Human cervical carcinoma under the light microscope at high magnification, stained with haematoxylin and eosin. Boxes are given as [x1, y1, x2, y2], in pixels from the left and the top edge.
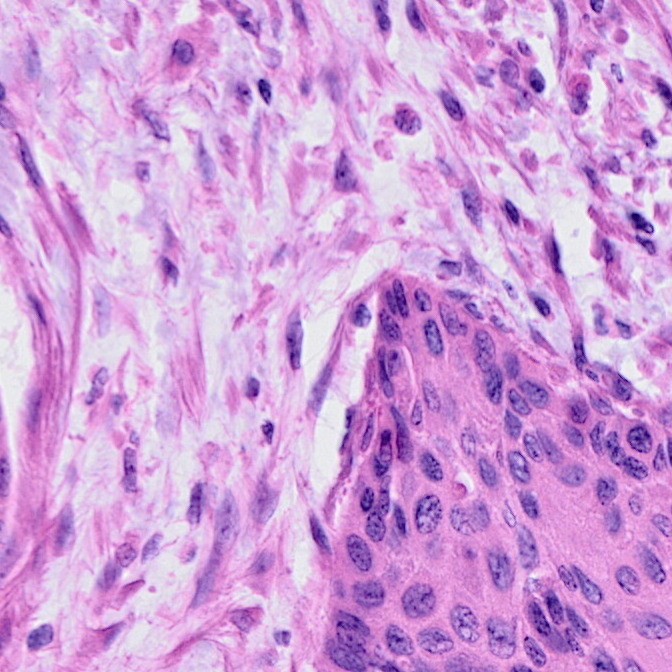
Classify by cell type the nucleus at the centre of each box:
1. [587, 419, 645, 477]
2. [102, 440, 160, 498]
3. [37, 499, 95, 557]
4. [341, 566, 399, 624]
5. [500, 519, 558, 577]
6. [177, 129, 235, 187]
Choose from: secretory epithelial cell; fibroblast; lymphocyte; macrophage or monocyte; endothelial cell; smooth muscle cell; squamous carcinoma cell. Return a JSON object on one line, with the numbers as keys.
{"1": "squamous carcinoma cell", "2": "fibroblast", "3": "fibroblast", "4": "squamous carcinoma cell", "5": "squamous carcinoma cell", "6": "fibroblast"}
